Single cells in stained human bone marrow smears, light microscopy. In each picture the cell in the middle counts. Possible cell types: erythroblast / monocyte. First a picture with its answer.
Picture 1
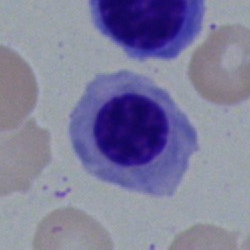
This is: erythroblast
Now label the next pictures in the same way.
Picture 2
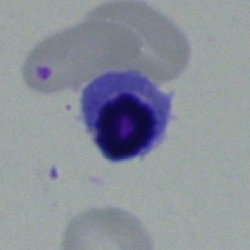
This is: erythroblast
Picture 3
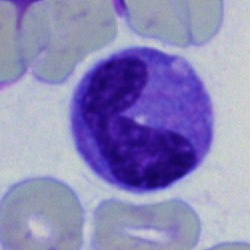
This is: monocyte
